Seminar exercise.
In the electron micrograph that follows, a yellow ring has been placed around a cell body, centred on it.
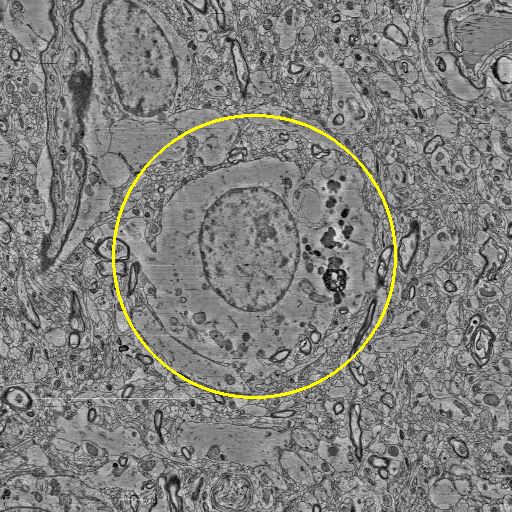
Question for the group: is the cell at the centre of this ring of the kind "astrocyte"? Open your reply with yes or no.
Yes, the cell in the ring's centre is of that kind.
